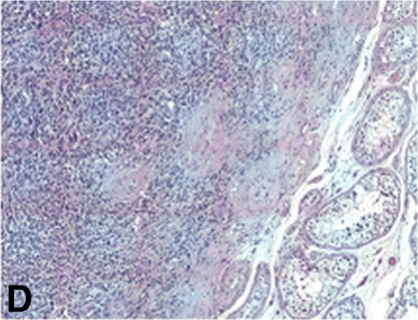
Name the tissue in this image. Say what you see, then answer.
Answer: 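Testicular parenchyma. Round tubular profiles lined by layered cells lie at the right edge. A dense sheet of small crowded cells fills the left part. A pale band of loose tissue separates the sheet from the tubules.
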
